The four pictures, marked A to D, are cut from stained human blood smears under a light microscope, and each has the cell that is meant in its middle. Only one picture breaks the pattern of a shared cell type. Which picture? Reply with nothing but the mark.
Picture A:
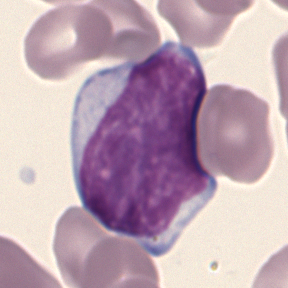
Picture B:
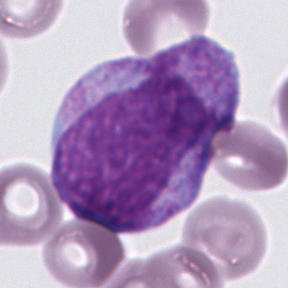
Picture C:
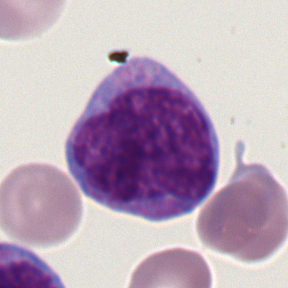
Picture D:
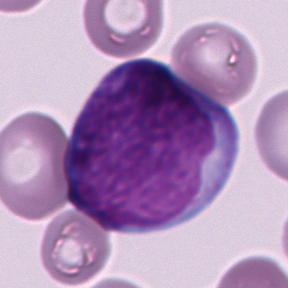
A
